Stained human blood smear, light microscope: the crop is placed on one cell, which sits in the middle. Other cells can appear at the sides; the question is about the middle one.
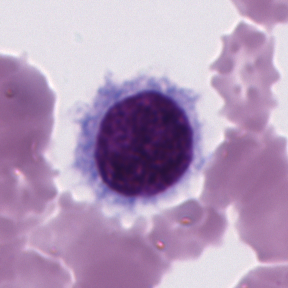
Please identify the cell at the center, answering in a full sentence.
In the middle of this smear crop is a hairy cell.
